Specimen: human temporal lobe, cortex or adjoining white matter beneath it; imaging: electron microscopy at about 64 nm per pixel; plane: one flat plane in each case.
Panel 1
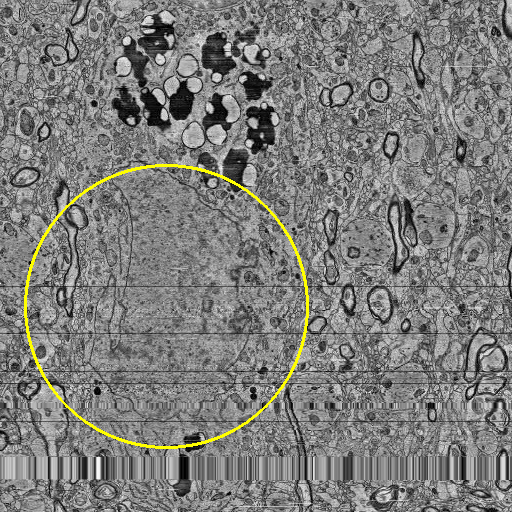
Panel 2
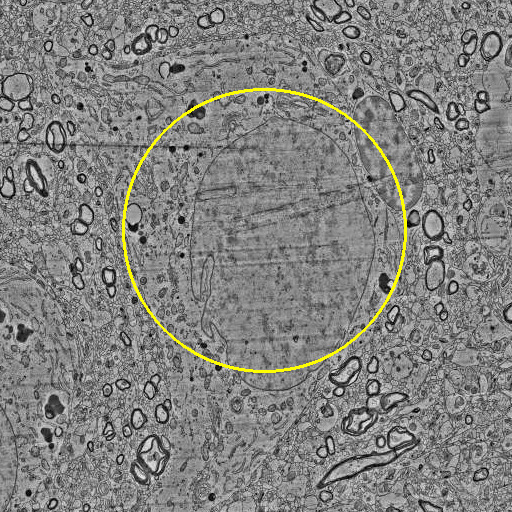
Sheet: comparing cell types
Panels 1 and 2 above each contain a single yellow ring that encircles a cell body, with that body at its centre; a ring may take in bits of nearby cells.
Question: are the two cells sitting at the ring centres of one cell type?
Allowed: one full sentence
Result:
Yes, the ring-centre cells in Panel 1 and Panel 2 are of one type.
